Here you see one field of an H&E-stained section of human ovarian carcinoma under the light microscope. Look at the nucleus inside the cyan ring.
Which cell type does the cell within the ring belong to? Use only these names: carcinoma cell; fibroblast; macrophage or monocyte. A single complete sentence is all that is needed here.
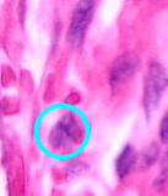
In this tissue sample, the cell within the ring is a fibroblast.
